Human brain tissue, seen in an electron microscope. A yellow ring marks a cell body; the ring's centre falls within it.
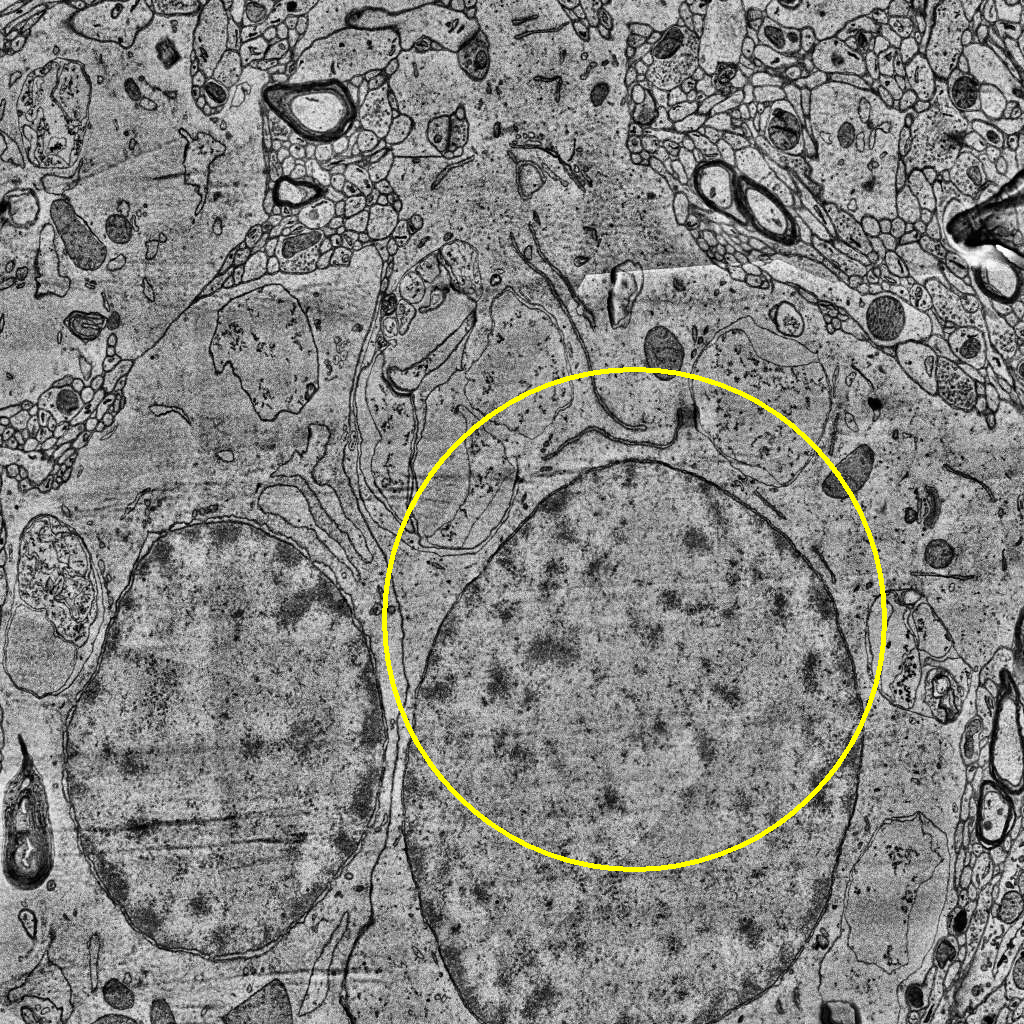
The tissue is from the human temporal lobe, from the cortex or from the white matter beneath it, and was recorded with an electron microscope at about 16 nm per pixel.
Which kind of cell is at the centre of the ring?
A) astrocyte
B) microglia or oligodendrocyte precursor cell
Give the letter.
A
